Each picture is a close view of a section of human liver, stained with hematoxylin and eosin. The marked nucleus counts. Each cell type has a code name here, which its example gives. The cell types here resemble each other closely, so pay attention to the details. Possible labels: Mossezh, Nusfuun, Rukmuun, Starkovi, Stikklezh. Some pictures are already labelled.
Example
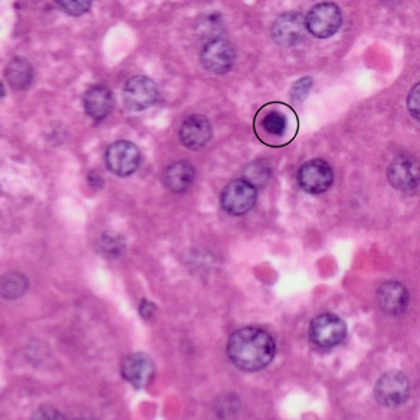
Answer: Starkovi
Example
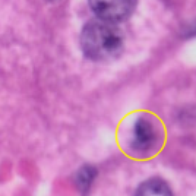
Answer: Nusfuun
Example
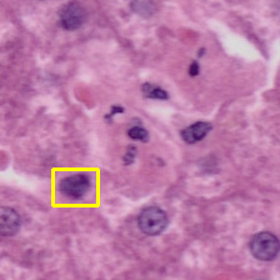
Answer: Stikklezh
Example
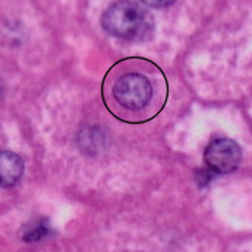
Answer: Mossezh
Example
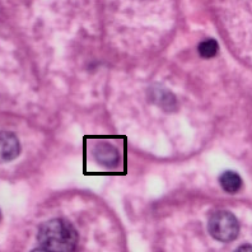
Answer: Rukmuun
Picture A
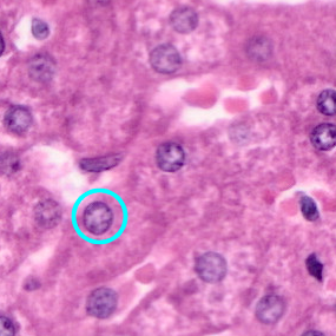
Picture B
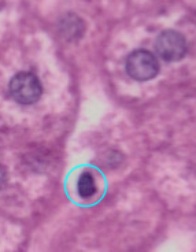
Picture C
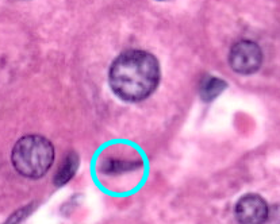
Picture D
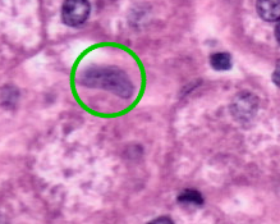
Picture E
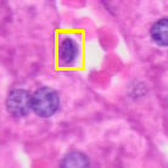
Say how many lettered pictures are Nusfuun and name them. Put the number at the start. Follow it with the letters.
0, none of them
